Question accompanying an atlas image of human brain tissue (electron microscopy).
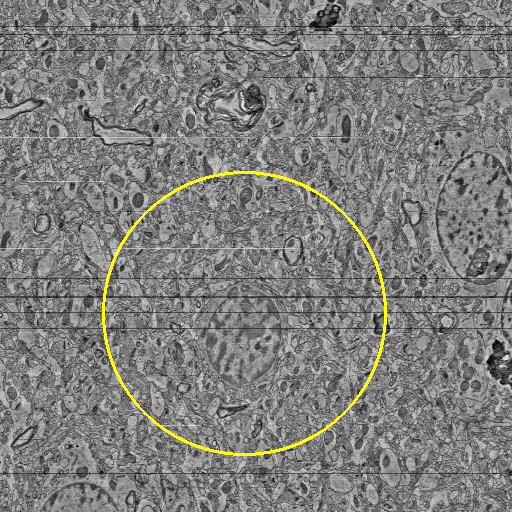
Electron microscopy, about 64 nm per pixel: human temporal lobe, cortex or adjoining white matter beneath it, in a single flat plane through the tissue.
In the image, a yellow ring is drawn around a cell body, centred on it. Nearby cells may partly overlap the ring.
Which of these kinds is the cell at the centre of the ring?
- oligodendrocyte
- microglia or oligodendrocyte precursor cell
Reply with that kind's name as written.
oligodendrocyte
